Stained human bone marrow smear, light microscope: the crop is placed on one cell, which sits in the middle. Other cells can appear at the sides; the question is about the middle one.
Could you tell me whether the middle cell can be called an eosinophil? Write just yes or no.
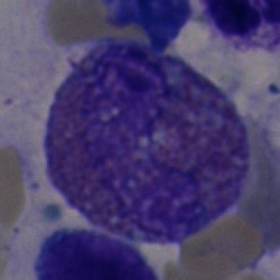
yes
